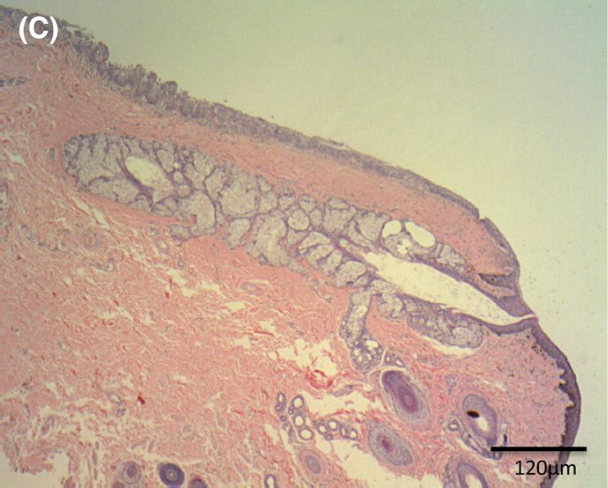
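Beneath a thin surface epithelium at the lid edge lies a long gland made of many pale, foamy-looking lobules, each bounded by a darker purple rim of small cells, clustered around a central open duct that runs toward the margin. The surrounding stroma is pink fibrous connective tissue, and deeper down sit cross-sections of hair follicles with purple sheaths. This is eyelid tissue with a meibomian gland of normal lobular structure: sebaceous lobules draining into a central duct.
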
